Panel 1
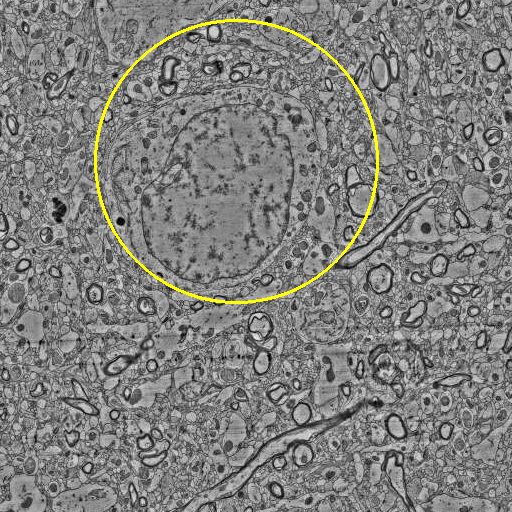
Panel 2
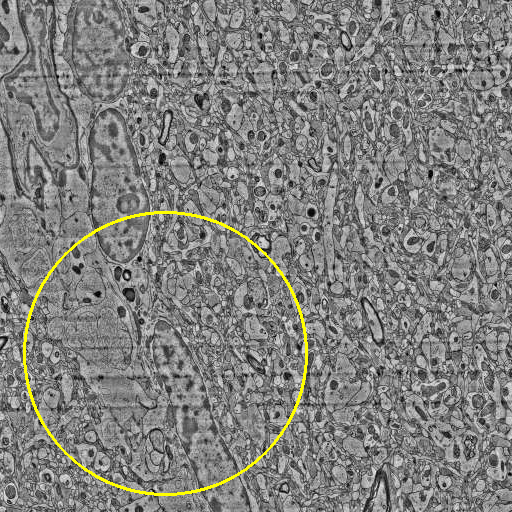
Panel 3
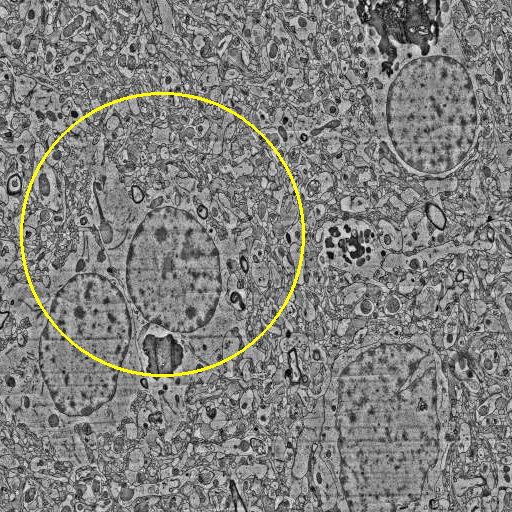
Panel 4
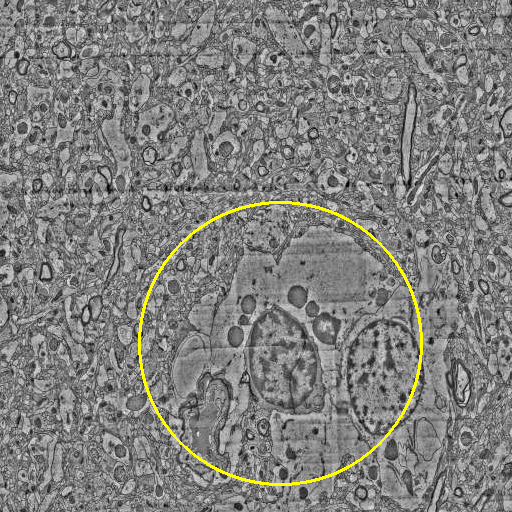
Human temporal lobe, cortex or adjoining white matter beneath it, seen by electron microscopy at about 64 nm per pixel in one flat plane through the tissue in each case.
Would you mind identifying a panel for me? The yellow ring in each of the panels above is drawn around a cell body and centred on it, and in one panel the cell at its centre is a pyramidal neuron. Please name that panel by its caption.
Panel 1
